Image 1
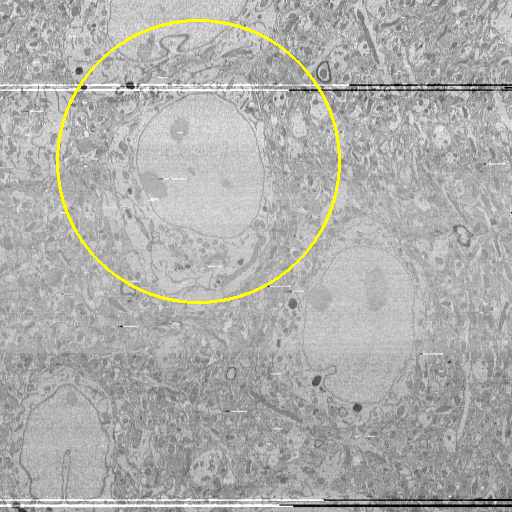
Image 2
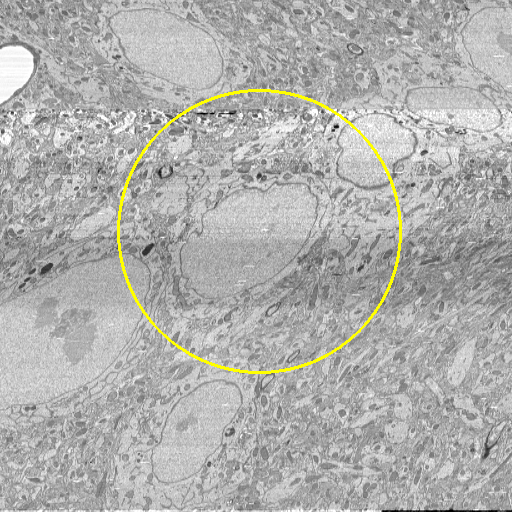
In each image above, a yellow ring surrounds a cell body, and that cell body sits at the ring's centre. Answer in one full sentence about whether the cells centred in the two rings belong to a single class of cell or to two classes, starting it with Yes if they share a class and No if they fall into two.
No, the cells centred in the two yellow rings belong to two classes of cell.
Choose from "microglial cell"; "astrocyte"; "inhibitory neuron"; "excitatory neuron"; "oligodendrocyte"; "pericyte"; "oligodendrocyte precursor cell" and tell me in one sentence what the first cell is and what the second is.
What the first ring is centred on is an excitatory neuron; what the second ring is centred on is an inhibitory neuron.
